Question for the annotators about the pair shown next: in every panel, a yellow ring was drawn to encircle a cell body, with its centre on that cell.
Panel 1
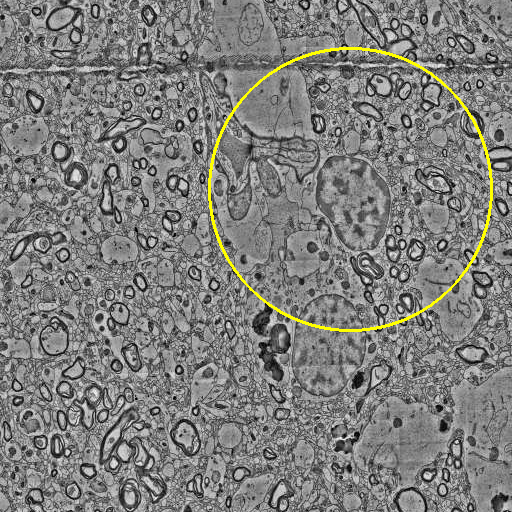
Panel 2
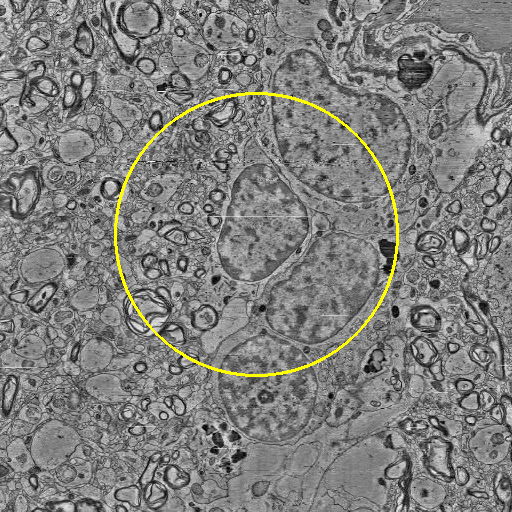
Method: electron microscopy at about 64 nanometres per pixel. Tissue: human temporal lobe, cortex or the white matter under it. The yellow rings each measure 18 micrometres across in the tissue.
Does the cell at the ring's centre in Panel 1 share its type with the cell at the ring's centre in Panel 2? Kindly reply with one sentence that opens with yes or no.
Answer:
Yes, in Panels 1 and 2 the cells at the ring centres belong to a single type.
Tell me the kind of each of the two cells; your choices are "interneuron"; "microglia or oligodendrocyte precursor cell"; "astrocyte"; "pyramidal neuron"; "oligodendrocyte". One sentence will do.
Both rings mark a microglial cell or oligodendrocyte precursor cell, one in each picture.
